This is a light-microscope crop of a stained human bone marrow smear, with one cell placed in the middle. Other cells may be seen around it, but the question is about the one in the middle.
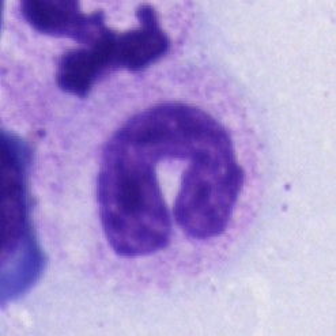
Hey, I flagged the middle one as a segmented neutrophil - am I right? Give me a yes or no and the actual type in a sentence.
No, the cell placed in the centre is a band neutrophil and is not a segmented neutrophil.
